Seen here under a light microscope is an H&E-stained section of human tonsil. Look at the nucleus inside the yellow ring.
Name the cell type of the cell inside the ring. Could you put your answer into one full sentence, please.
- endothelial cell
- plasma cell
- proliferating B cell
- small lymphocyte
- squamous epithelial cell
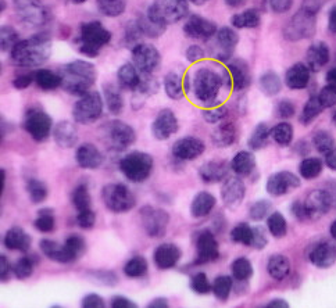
Labelled by cell type, the cell inside the ring is a proliferating B cell.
